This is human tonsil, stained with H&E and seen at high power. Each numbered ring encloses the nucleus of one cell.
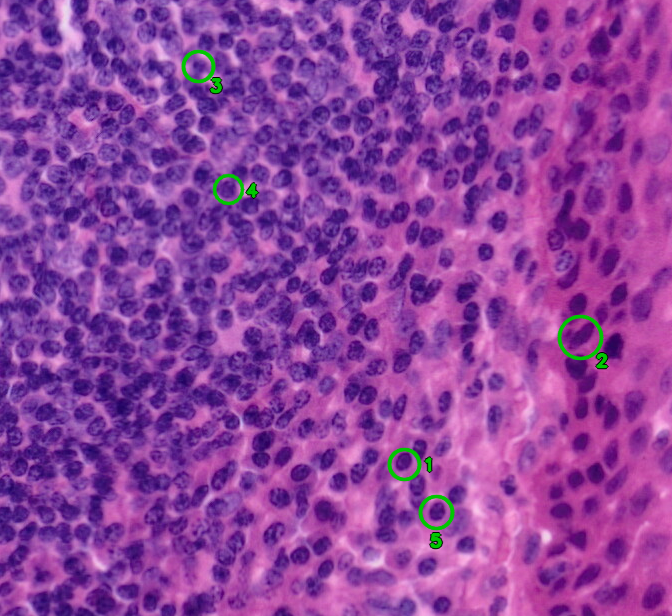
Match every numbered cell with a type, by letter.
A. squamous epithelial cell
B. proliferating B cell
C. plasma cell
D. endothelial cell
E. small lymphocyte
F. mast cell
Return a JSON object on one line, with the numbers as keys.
{"1": "C", "2": "A", "3": "E", "4": "E", "5": "C"}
